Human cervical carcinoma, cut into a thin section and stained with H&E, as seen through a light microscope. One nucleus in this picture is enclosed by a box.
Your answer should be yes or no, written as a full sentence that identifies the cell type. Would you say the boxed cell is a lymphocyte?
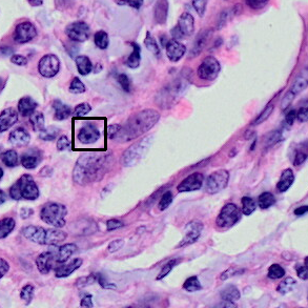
Yes, it is as a lymphocyte that the boxed cell is classified.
